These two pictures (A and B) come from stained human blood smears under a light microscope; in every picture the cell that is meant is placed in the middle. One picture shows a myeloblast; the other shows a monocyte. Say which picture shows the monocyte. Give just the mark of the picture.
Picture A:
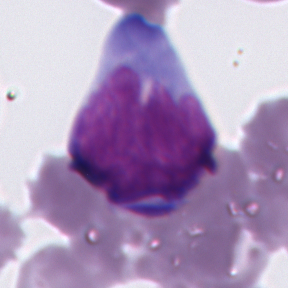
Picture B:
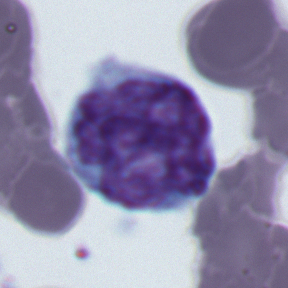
B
